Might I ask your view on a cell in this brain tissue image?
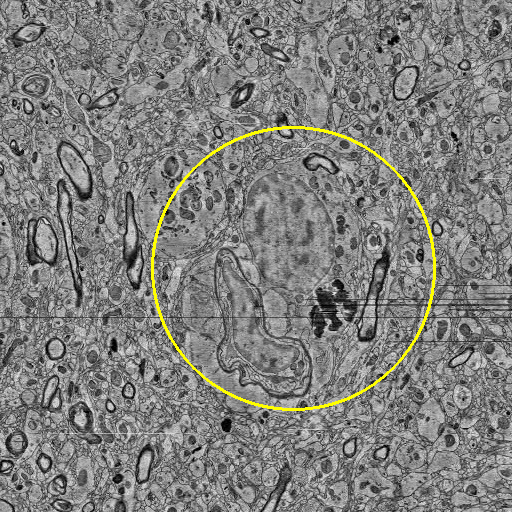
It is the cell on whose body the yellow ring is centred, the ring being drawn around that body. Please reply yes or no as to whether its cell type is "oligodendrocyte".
yes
